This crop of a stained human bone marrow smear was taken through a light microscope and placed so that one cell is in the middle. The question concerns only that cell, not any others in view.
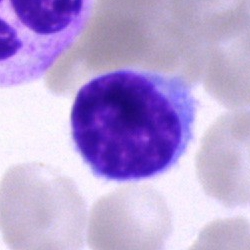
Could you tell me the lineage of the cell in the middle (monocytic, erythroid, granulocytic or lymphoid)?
lymphoid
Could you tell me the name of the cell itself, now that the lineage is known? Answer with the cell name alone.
lymphocyte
